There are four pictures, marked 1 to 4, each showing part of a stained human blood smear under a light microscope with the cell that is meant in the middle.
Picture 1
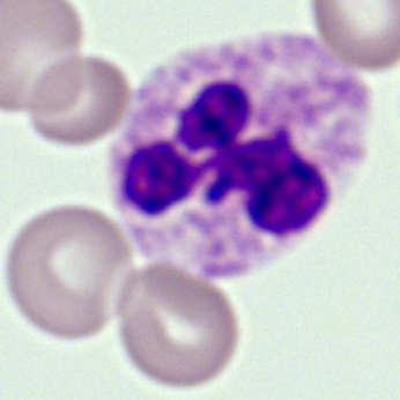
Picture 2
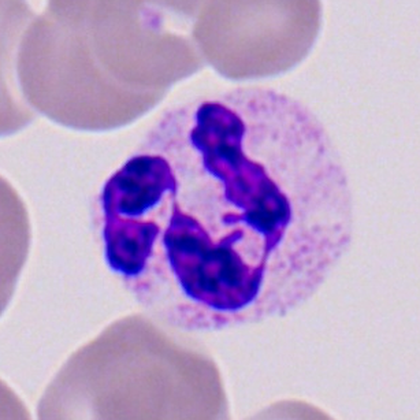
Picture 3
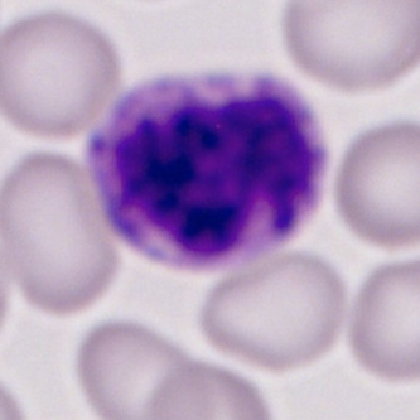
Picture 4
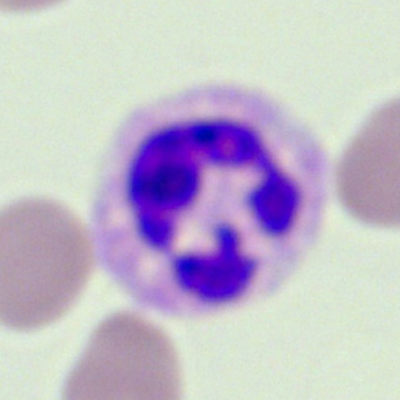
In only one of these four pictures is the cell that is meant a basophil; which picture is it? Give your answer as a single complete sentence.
Picture 3 is the one that shows the basophil.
